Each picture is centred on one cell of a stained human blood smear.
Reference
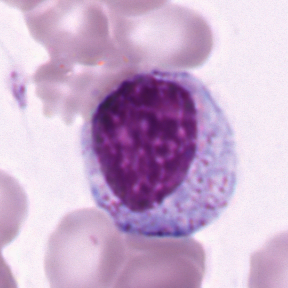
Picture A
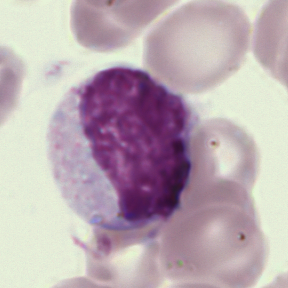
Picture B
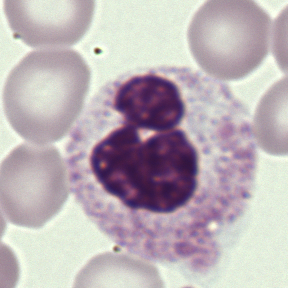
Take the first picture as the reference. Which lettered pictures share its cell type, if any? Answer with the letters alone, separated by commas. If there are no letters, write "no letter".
A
